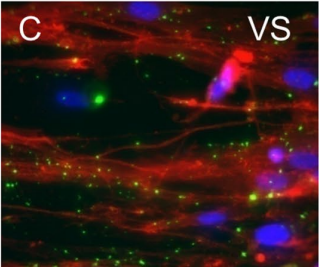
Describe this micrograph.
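Blue nuclei are few, small and oval, set among the bundled processes. Numerous small green dots are scattered along and between the processes, with little yellow overlap.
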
